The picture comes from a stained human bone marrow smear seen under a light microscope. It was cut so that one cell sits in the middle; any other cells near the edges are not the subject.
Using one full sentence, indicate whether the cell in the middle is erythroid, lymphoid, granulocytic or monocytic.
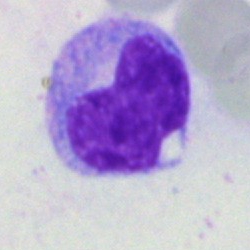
The cell held in the center of the crop belongs to the monocytic lineage.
